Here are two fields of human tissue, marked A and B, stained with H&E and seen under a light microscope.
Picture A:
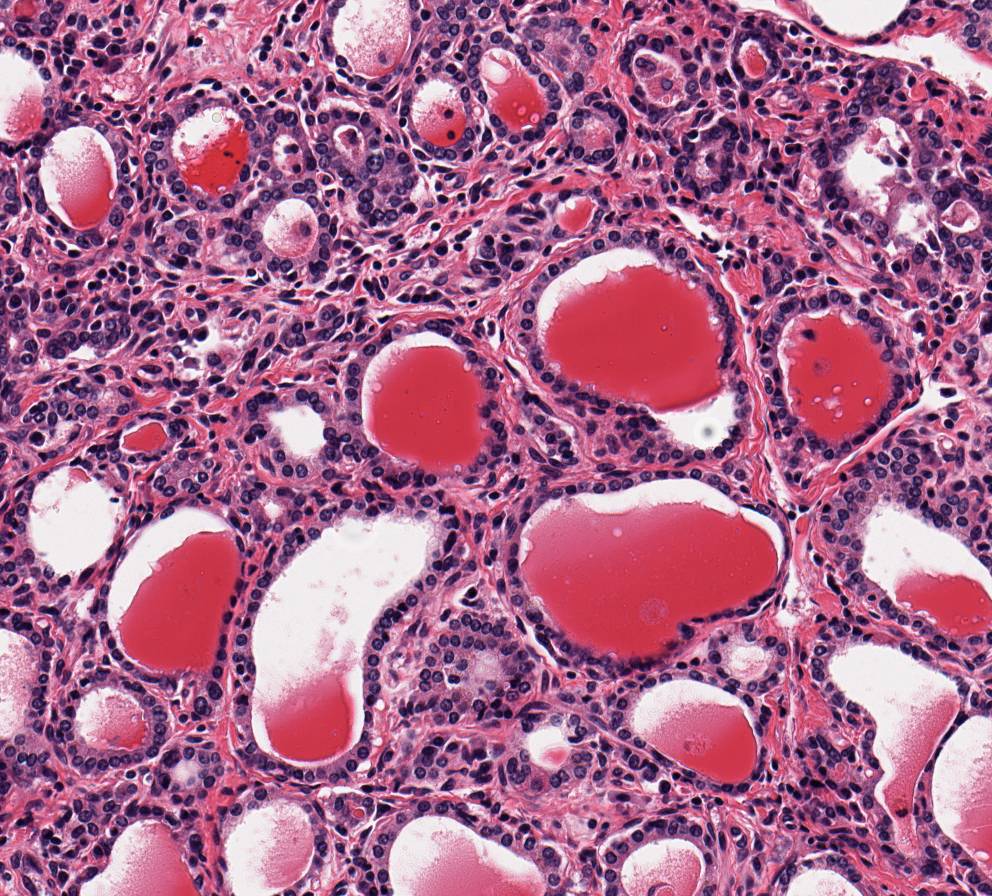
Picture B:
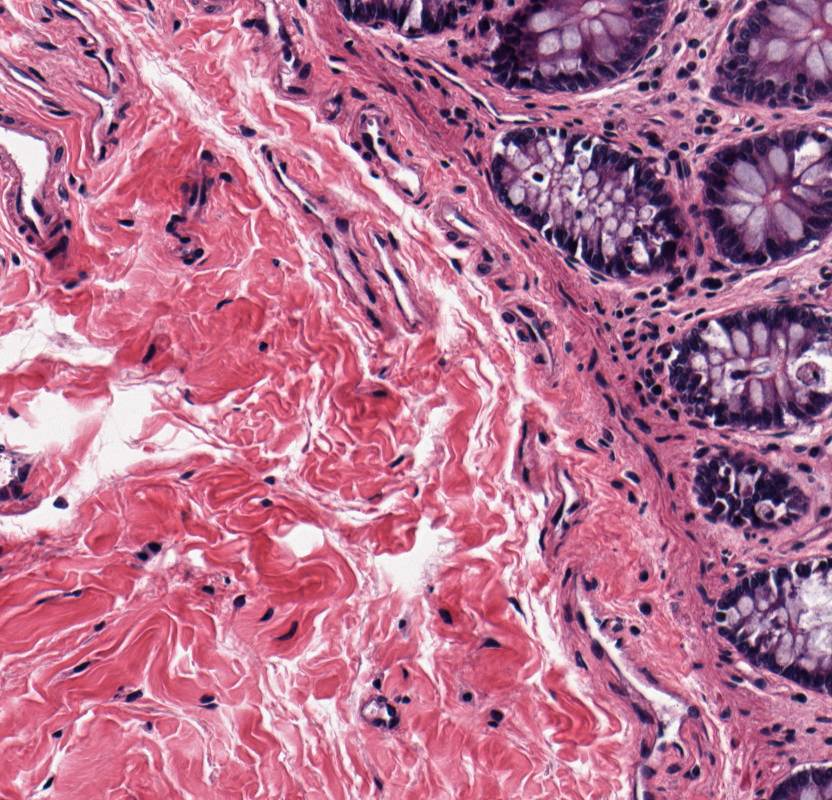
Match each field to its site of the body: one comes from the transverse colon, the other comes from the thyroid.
A: thyroid
B: transverse colon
